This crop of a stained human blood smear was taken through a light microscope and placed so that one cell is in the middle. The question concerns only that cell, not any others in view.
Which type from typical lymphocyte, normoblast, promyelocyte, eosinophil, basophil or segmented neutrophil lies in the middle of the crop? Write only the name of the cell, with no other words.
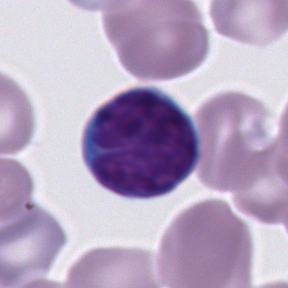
typical lymphocyte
